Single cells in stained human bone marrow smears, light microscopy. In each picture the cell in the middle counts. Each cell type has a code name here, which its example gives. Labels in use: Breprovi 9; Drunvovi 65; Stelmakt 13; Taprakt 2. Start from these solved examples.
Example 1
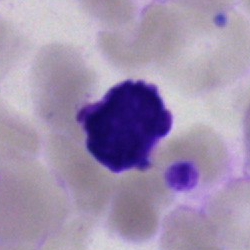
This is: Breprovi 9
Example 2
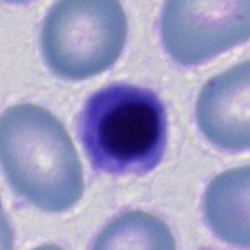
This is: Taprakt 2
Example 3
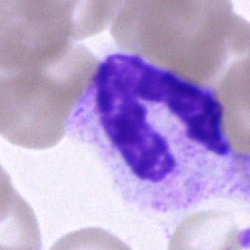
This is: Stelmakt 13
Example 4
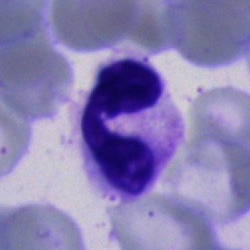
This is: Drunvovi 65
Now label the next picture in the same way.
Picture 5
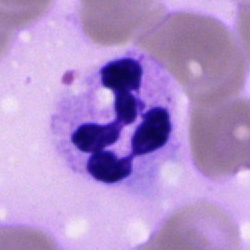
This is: Drunvovi 65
